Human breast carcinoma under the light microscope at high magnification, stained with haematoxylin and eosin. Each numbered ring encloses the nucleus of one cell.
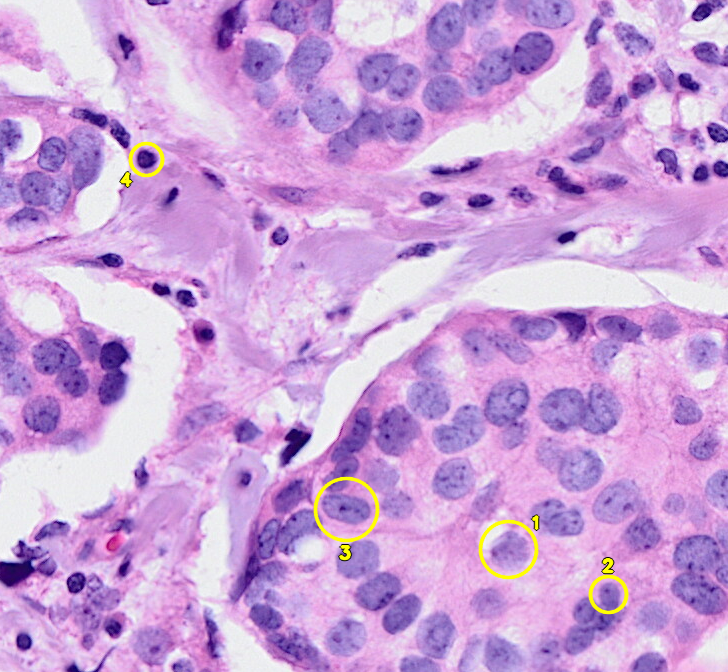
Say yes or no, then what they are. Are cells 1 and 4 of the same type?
No, cell 1 is a carcinoma cell, and cell 4 is a lymphocyte.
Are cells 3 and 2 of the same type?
Yes, both of cells 3 and 2 are carcinoma cells.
